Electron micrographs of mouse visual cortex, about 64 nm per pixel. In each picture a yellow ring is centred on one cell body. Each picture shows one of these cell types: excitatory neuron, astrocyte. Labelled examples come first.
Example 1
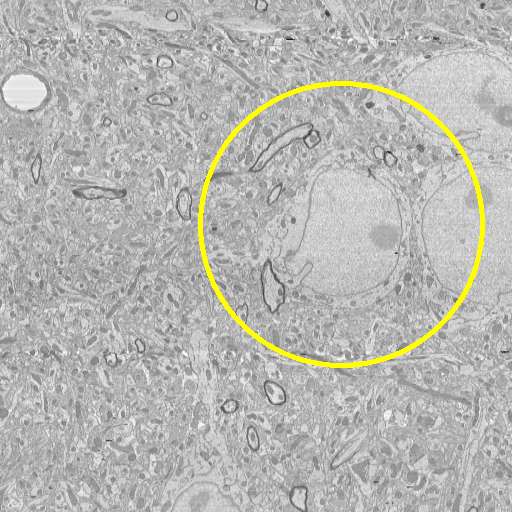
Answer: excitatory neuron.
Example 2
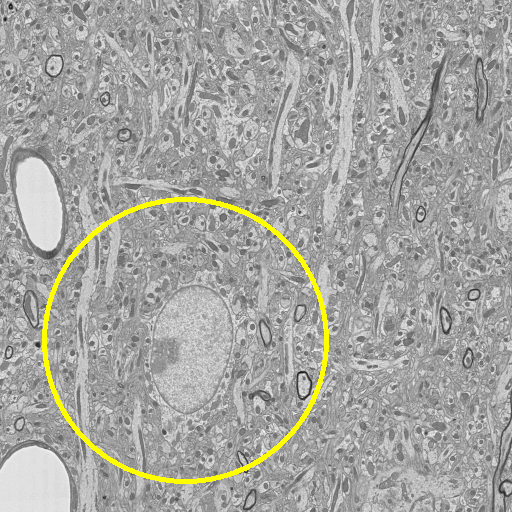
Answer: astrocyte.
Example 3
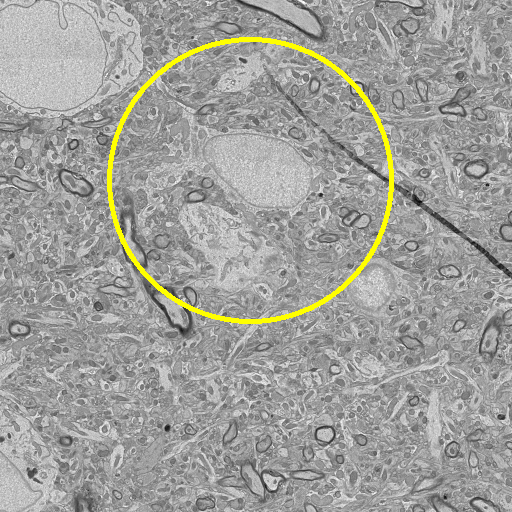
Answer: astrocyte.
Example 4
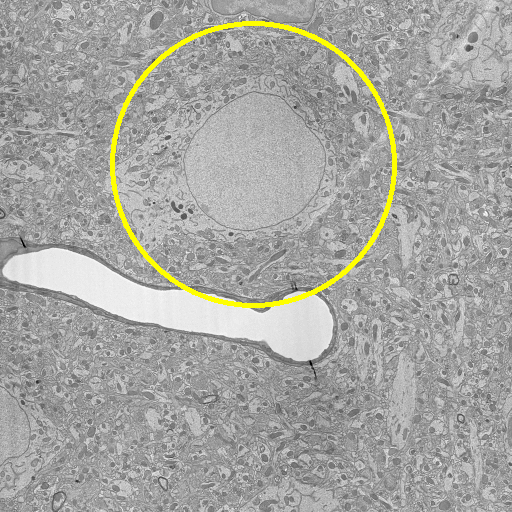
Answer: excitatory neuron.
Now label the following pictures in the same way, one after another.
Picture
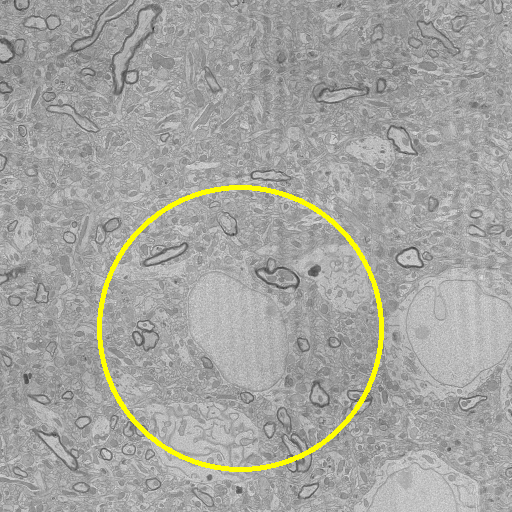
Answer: astrocyte.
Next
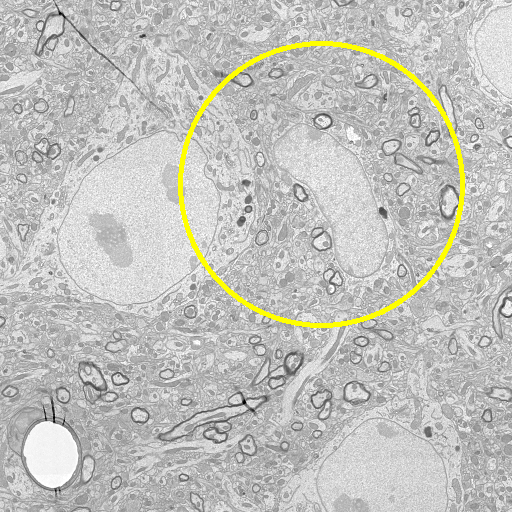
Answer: astrocyte.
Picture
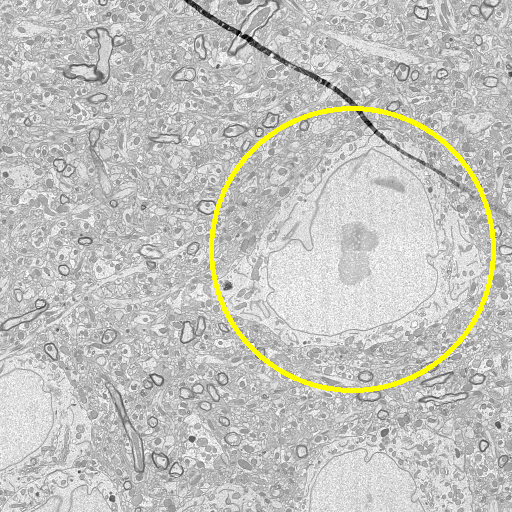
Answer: excitatory neuron.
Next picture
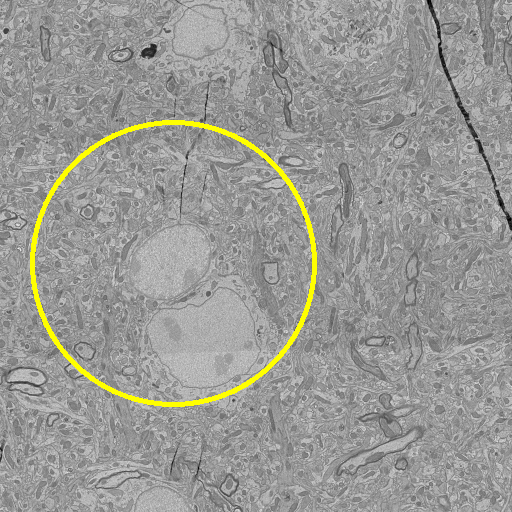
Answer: astrocyte.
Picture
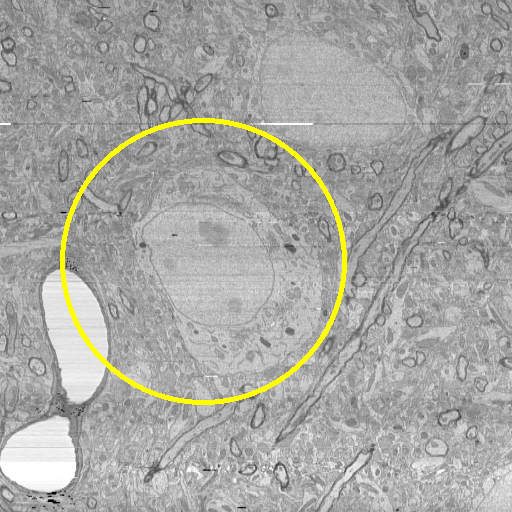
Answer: excitatory neuron.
